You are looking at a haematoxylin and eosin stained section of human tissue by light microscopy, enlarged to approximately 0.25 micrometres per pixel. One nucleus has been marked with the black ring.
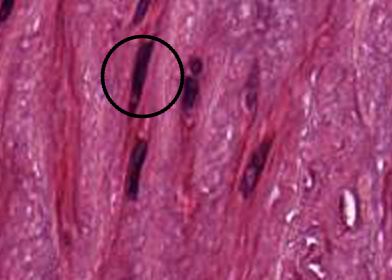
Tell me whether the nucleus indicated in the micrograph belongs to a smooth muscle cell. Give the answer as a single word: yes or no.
yes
